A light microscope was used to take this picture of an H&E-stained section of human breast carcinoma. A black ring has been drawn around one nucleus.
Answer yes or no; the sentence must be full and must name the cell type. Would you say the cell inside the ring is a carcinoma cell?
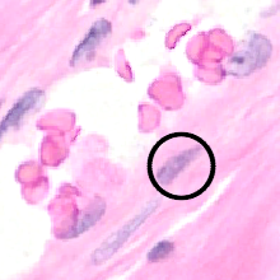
No, the cell inside the ring is an endothelial cell rather than a carcinoma cell.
